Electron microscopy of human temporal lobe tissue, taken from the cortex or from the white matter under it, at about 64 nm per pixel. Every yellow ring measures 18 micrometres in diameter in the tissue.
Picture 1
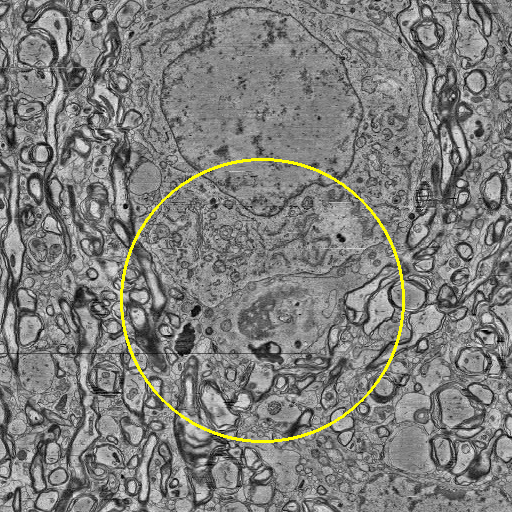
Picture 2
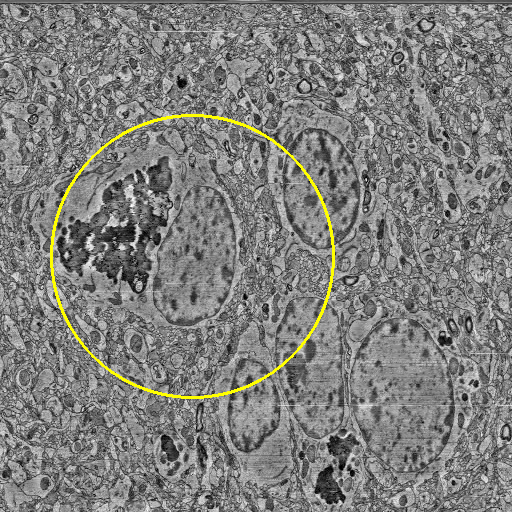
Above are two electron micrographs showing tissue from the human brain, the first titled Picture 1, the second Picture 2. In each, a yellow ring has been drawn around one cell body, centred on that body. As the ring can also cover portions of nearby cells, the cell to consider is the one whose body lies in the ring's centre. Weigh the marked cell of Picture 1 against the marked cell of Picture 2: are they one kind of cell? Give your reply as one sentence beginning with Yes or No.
No, the two cells sitting at the ring centres in the pictures are of two kinds.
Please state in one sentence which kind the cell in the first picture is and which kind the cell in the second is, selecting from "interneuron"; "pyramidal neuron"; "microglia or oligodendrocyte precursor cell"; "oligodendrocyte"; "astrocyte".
The first ringed cell is an oligodendrocyte, the second ringed cell an astrocyte.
